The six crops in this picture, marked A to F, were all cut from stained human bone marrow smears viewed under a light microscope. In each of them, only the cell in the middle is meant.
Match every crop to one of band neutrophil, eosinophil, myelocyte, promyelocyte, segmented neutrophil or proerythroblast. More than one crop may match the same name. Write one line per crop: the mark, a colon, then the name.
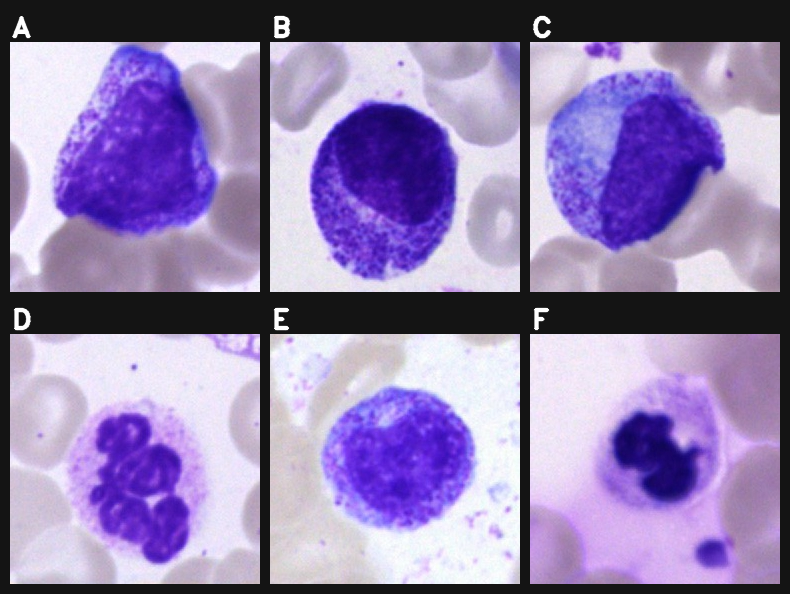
A: promyelocyte
B: promyelocyte
C: promyelocyte
D: segmented neutrophil
E: myelocyte
F: segmented neutrophil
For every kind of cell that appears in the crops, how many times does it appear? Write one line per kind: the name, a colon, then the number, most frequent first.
promyelocyte: 3
segmented neutrophil: 2
myelocyte: 1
